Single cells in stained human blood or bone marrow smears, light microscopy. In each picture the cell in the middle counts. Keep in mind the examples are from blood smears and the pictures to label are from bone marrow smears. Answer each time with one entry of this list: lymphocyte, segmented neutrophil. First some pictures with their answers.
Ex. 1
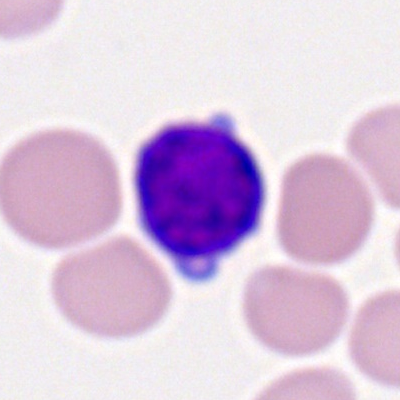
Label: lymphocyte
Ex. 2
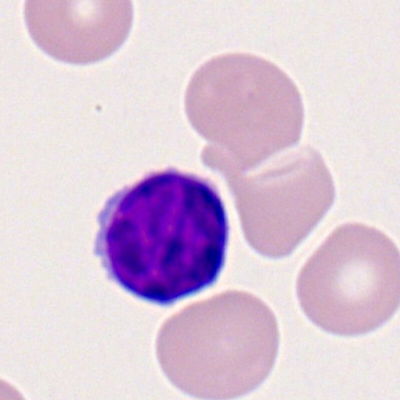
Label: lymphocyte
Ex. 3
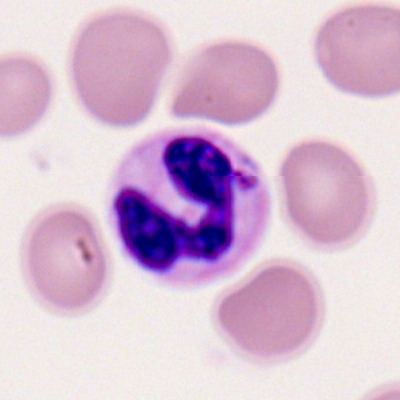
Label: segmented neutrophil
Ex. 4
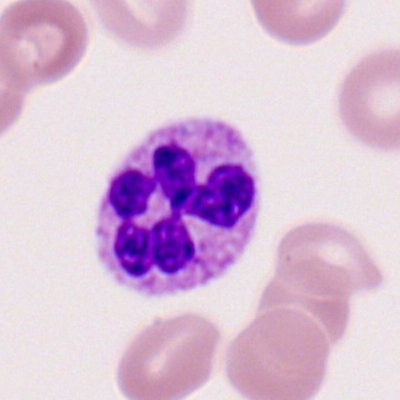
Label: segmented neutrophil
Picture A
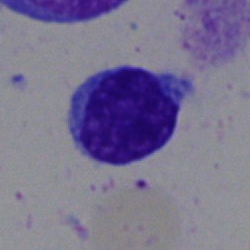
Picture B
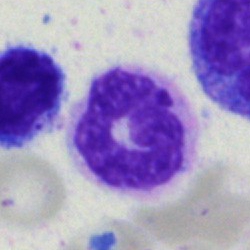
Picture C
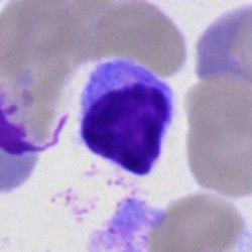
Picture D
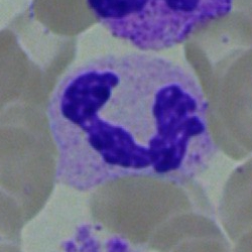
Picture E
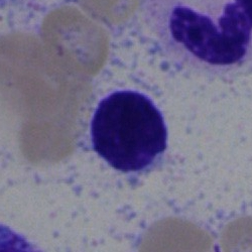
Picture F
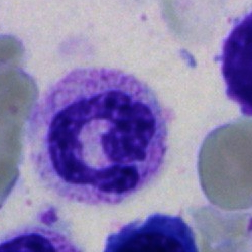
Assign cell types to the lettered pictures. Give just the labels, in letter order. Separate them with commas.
lymphocyte, segmented neutrophil, lymphocyte, segmented neutrophil, lymphocyte, segmented neutrophil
